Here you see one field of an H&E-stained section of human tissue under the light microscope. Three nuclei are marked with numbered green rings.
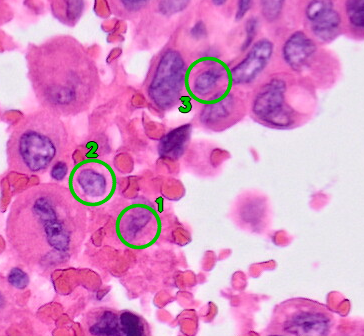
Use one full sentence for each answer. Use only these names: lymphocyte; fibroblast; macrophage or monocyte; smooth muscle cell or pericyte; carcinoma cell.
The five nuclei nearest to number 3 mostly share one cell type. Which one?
Of the five nuclei nearest to number 3, most belong to carcinoma cells.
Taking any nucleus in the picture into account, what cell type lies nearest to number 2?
The nucleus nearest to number 2 is that of a lymphocyte.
